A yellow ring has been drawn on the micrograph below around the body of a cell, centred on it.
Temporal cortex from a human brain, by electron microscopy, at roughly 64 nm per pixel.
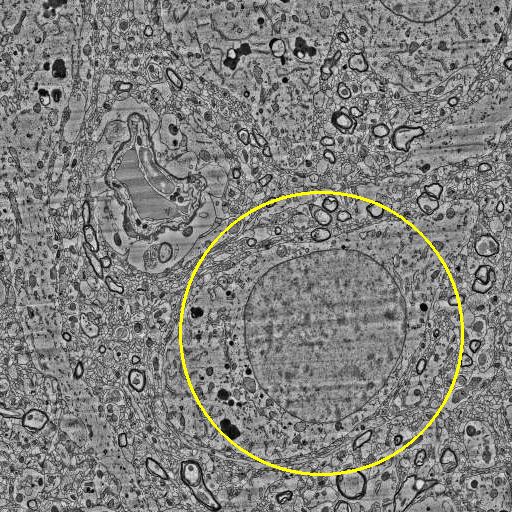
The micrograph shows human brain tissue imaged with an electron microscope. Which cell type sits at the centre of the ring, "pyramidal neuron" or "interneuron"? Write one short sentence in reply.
The cell sitting at the centre of the ring is a pyramidal neuron.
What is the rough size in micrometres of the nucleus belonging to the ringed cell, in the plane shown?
Roughly 11 micrometres across, measured in this plane.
